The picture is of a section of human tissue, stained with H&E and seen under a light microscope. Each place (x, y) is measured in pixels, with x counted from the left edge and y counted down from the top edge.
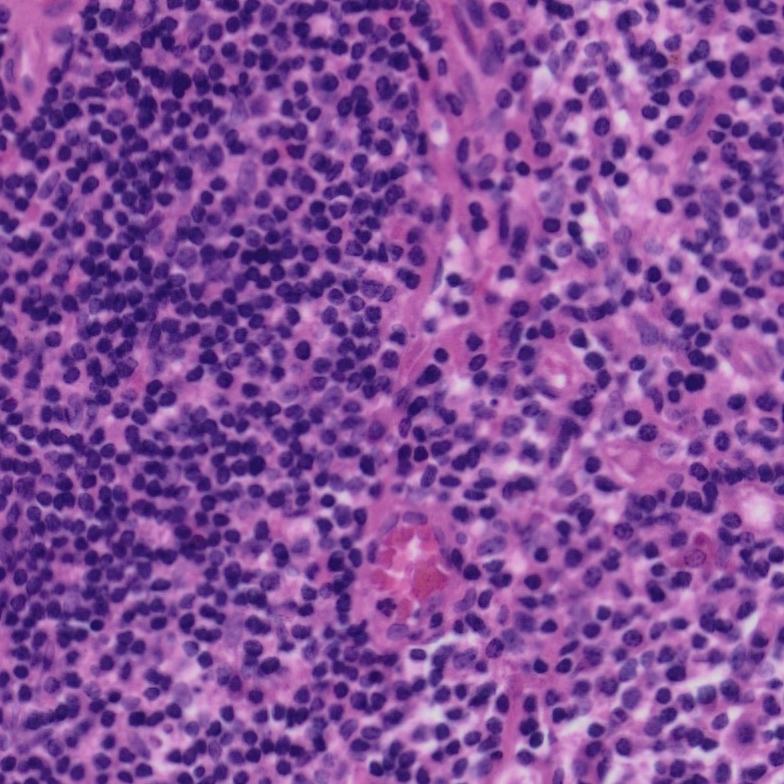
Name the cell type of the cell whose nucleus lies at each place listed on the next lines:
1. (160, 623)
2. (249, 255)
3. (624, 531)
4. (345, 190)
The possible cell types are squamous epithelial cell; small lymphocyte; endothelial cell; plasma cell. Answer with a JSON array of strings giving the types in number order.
["small lymphocyte", "small lymphocyte", "plasma cell", "small lymphocyte"]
